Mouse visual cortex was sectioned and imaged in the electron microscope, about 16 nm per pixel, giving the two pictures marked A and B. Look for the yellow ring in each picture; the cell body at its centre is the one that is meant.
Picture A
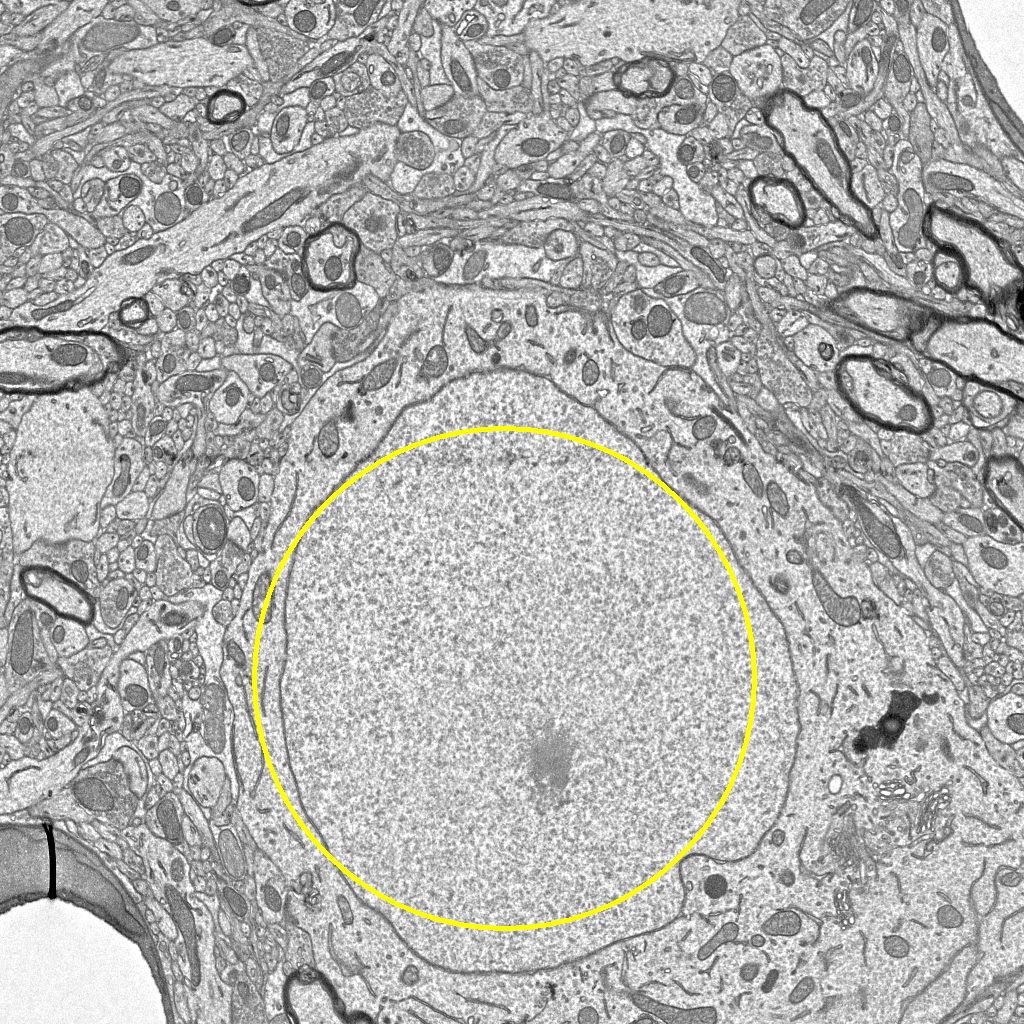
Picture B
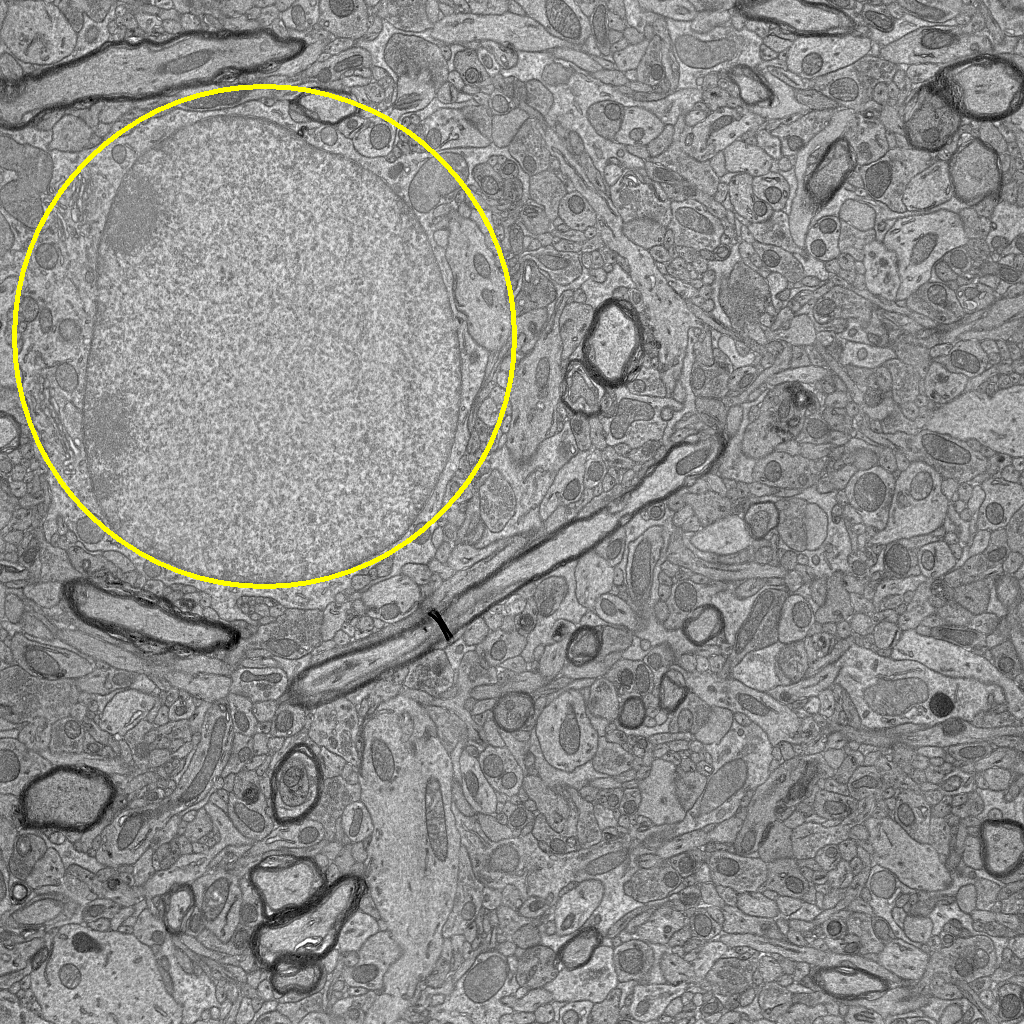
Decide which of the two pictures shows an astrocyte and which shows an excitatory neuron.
In picture A the cell is an excitatory neuron; in picture B, an astrocyte.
